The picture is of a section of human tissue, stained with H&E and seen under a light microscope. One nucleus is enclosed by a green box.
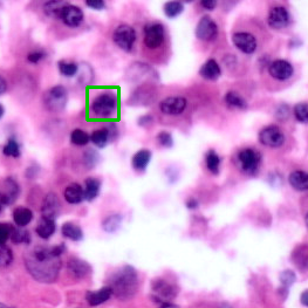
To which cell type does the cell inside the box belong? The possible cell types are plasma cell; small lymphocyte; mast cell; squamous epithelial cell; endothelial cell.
plasma cell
